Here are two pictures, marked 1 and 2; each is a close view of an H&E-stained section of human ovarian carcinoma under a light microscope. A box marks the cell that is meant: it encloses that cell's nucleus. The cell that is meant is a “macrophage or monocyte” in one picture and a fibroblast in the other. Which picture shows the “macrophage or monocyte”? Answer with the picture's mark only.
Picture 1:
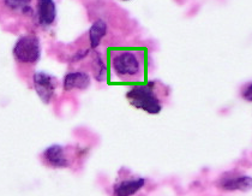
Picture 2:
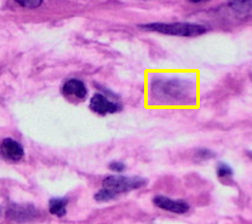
1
